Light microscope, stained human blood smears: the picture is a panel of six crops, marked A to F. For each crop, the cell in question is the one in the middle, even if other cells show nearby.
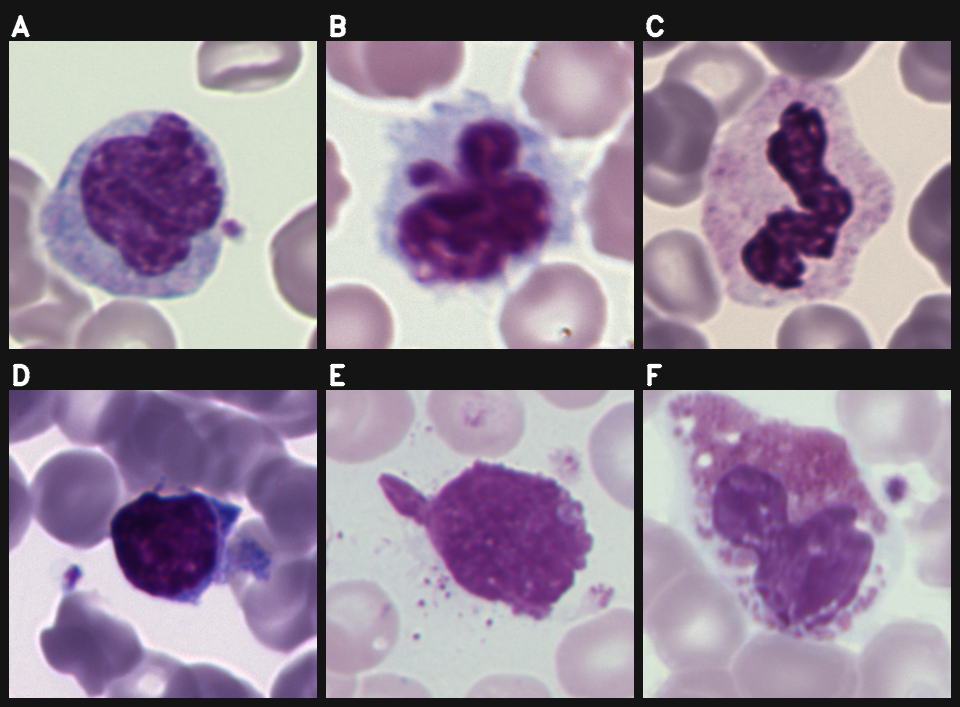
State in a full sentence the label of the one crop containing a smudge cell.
That would be crop E; it shows a smudge cell.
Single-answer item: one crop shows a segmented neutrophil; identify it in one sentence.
The one showing a segmented neutrophil is the crop labelled C.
